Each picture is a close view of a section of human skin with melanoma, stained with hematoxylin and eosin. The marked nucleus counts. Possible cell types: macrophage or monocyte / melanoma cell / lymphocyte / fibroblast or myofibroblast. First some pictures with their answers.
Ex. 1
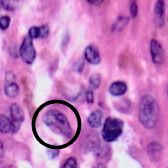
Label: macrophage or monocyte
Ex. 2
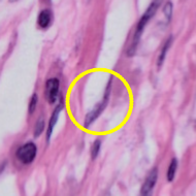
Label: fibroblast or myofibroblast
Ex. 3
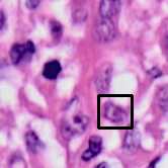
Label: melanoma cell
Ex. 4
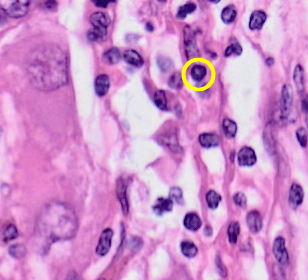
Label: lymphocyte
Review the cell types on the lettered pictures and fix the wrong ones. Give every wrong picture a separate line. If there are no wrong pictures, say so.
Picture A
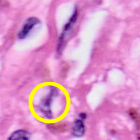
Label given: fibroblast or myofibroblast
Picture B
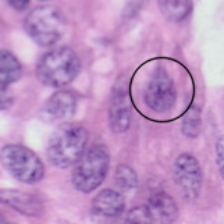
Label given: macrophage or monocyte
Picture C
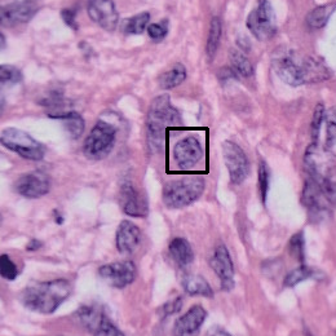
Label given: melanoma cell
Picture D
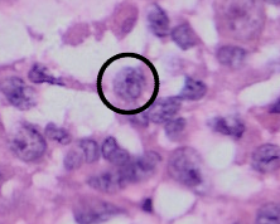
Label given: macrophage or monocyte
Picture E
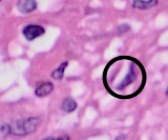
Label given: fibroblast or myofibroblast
B: not macrophage or monocyte but melanoma cell
D: not macrophage or monocyte but melanoma cell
